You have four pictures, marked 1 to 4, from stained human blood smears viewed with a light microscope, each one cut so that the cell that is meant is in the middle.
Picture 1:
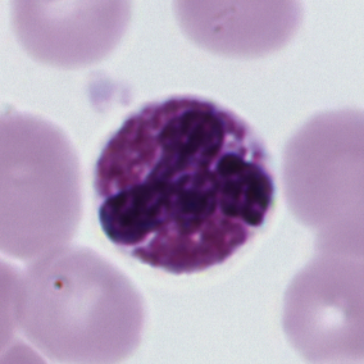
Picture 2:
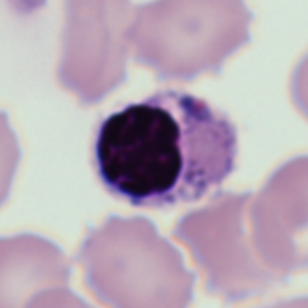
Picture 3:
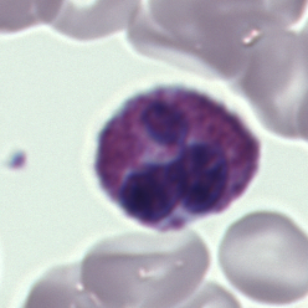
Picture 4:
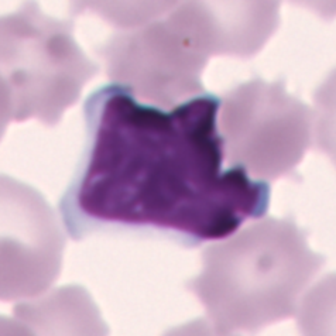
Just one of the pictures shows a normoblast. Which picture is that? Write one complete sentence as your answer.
It is picture 2 that shows the normoblast.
